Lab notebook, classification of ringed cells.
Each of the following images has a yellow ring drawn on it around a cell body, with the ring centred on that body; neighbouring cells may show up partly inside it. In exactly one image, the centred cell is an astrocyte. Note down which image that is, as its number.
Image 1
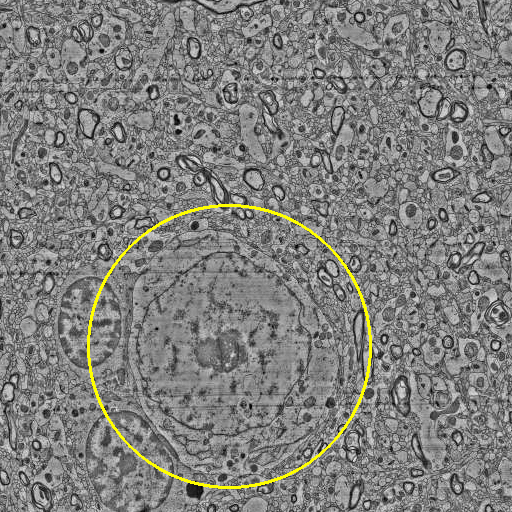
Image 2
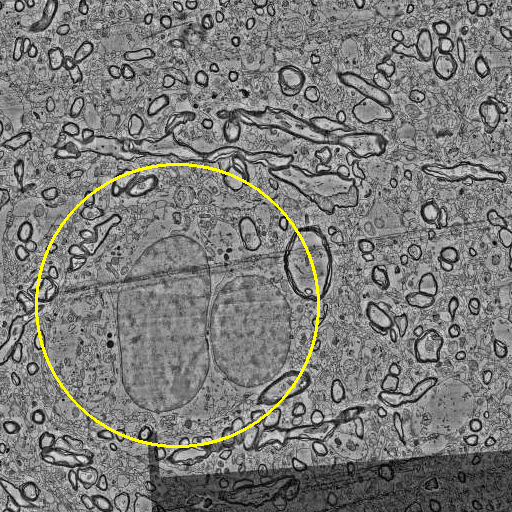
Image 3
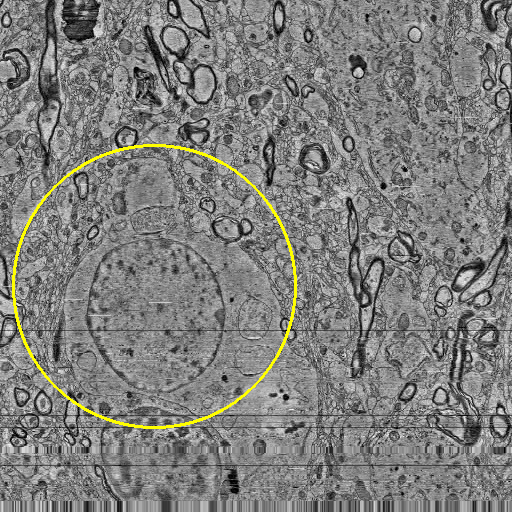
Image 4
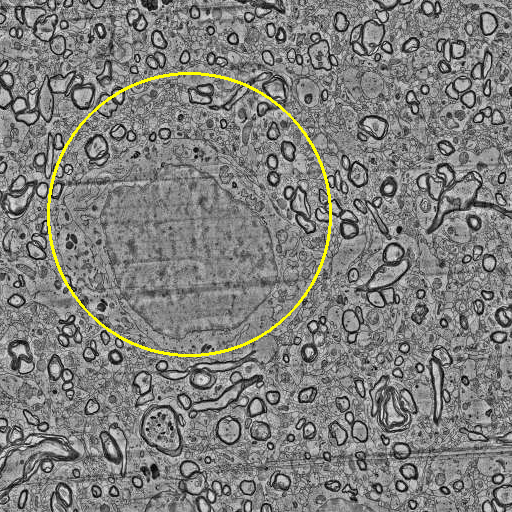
3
